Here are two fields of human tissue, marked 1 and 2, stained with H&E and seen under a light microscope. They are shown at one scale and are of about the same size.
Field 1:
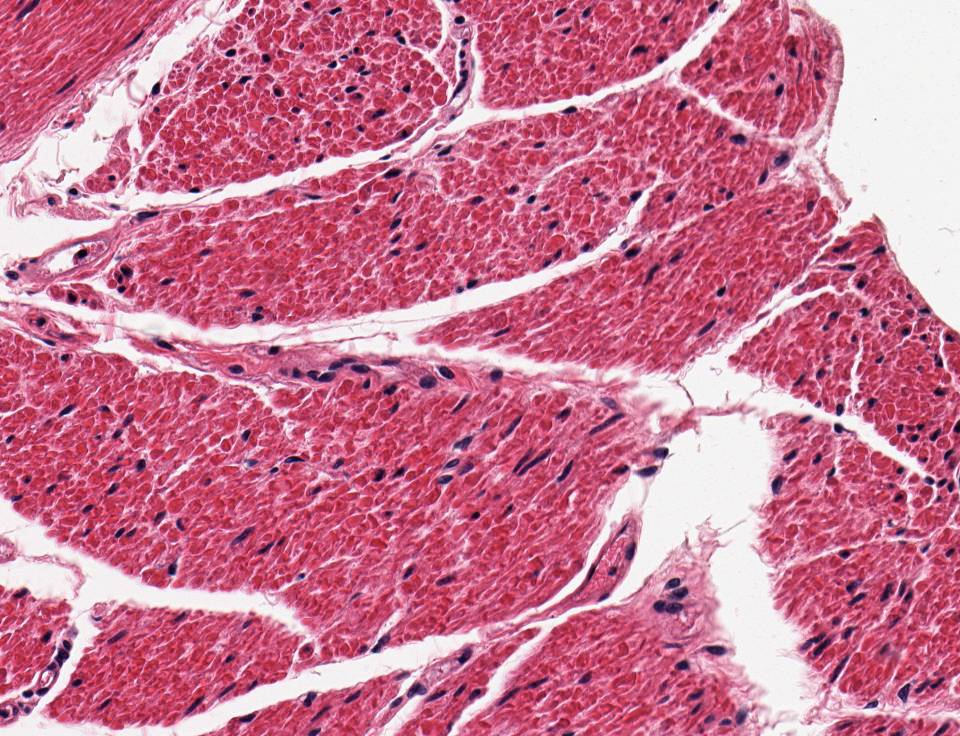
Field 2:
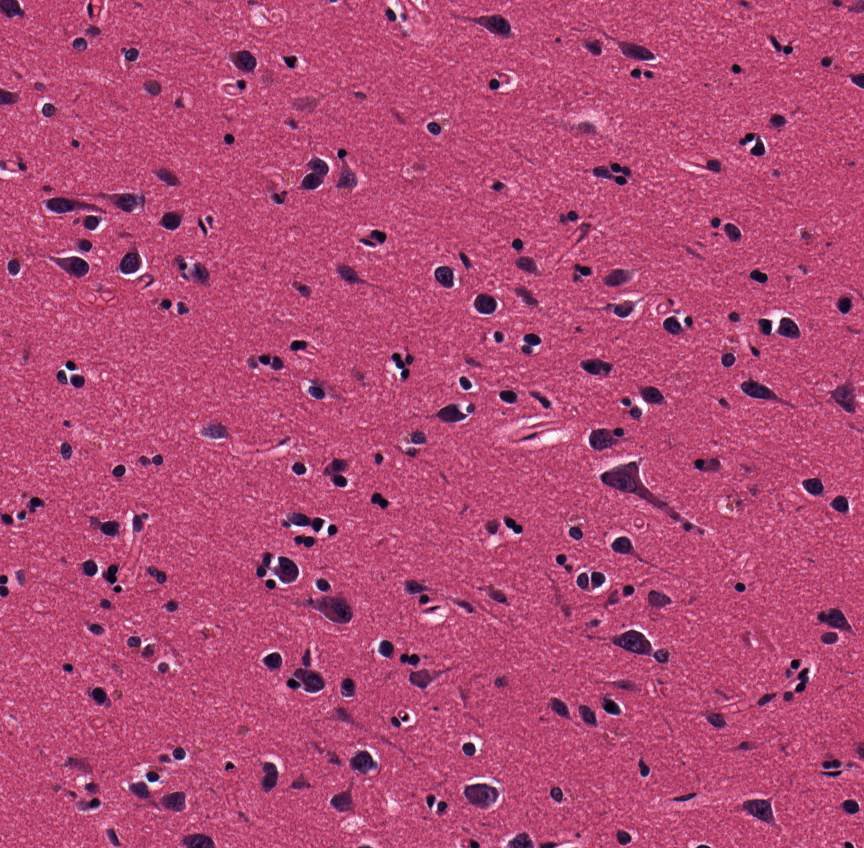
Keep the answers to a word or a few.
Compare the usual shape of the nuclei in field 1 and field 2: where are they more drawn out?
1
